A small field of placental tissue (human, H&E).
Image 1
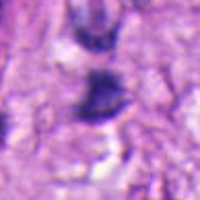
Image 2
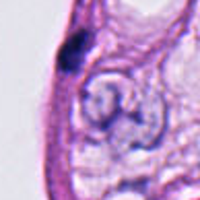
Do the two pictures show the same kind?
No: a vascular myocyte, then a cytotrophoblast.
